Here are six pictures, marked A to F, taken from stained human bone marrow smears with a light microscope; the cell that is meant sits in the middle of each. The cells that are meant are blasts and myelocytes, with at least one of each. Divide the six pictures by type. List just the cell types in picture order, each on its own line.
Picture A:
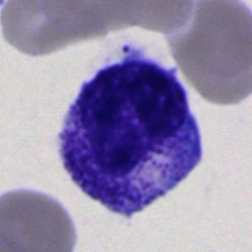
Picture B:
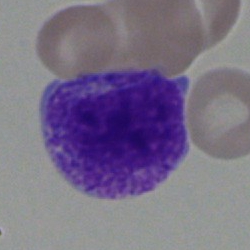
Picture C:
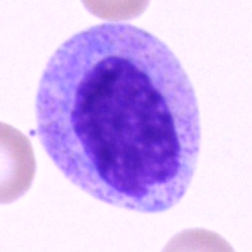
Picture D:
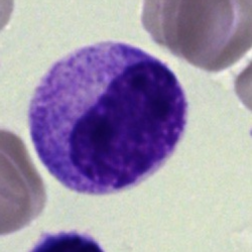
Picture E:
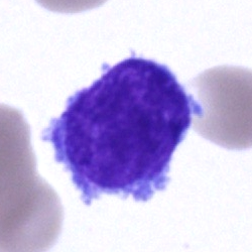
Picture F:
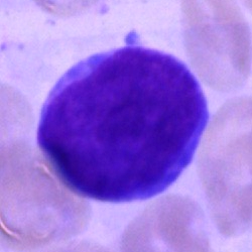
myelocyte
myelocyte
myelocyte
myelocyte
blast
blast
